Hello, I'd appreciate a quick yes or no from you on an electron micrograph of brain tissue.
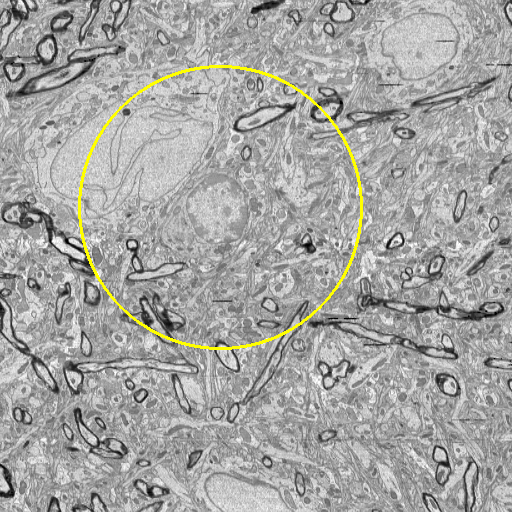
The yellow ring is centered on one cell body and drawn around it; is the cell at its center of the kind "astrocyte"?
no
